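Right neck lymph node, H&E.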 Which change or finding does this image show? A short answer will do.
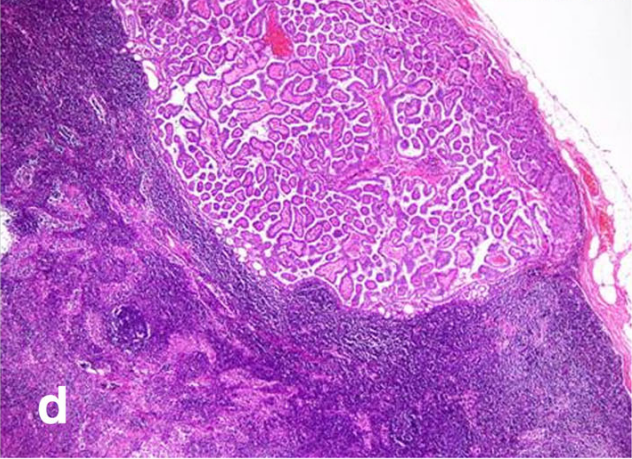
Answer: Metastatic papillary carcinoma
